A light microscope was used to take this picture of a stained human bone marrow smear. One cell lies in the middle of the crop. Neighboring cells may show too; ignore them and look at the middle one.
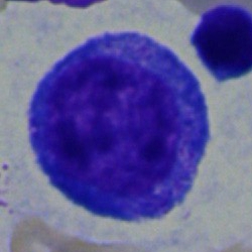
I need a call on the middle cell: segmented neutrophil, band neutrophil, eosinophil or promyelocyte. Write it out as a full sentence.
The cell at the middle of the frame should be recorded as a promyelocyte.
